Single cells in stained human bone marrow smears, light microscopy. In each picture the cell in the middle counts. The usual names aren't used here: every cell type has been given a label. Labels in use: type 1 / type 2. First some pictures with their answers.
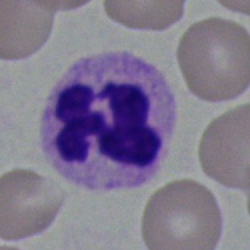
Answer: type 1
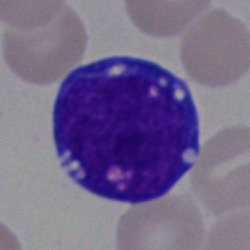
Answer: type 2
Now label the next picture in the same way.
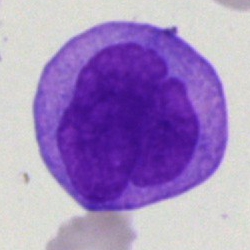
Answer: type 2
